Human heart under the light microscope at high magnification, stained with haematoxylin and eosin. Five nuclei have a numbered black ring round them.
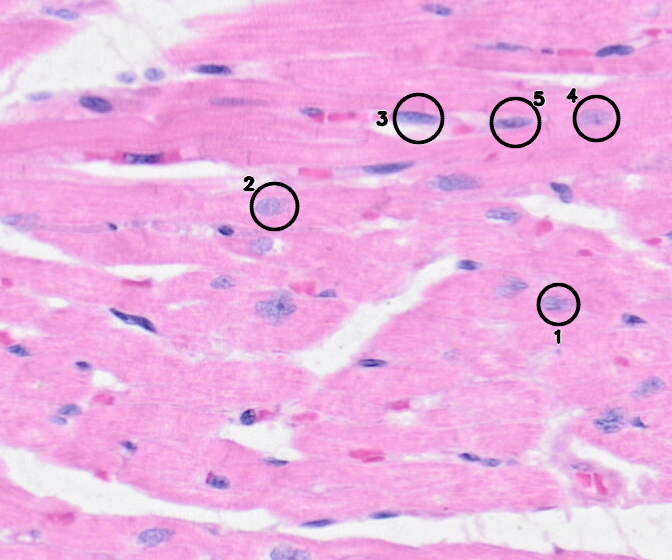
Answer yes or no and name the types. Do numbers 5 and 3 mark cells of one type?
No, cell 5 is classed as a fibroblast and cell 3 as an endothelial cell.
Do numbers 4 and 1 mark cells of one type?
Yes, cells 4 and 1 fall into the same group, both being cardiomyocytes.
